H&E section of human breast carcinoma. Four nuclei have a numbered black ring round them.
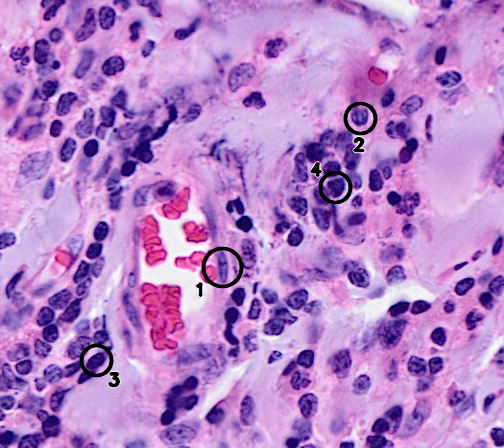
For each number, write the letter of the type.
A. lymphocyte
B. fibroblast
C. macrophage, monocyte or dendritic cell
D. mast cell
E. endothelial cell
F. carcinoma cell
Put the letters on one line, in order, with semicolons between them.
E; A; A; A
